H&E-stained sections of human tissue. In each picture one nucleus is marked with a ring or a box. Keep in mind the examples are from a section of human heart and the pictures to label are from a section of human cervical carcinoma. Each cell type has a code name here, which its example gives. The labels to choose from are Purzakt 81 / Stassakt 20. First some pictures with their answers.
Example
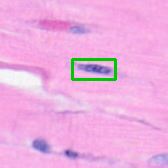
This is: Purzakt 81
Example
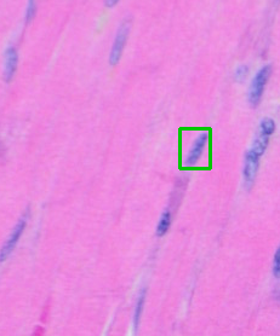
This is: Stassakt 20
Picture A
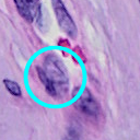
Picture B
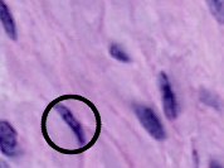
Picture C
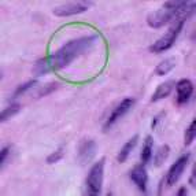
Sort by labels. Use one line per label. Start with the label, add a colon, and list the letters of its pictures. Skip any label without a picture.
Purzakt 81: A
Stassakt 20: B, C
